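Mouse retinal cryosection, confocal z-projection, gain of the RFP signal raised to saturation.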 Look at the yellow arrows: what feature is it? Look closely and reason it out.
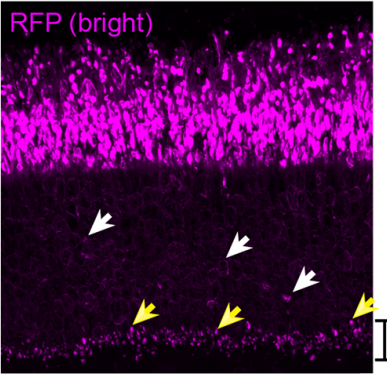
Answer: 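The yellow arrows point to small bright puncta in a thin band at the bottom of the panel. The band lies below the broad, dim layer of packed cell outlines.
Conclusion: rod photoreceptor synapses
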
